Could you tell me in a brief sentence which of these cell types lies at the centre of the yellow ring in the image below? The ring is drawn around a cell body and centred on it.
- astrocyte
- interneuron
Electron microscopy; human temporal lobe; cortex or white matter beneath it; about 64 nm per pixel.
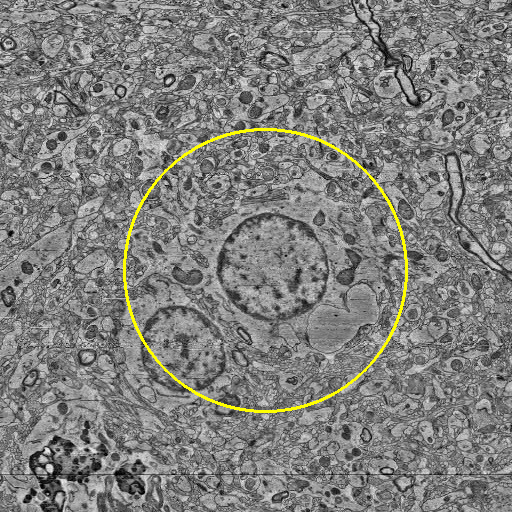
The cell centred in the ring is an astrocyte.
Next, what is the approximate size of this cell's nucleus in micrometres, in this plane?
The nucleus of the ringed cell is approximately 7 micrometres across in this plane.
